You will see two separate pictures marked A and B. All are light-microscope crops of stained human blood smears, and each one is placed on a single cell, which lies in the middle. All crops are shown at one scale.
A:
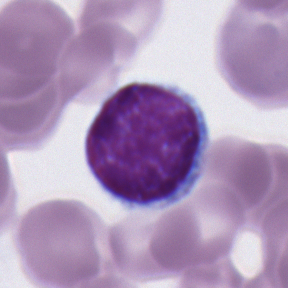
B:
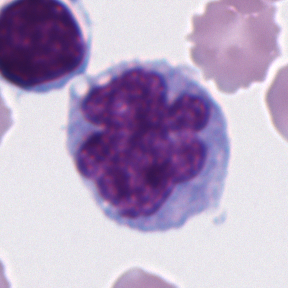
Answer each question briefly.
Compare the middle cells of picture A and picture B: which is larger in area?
B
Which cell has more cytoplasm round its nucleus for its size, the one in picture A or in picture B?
B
